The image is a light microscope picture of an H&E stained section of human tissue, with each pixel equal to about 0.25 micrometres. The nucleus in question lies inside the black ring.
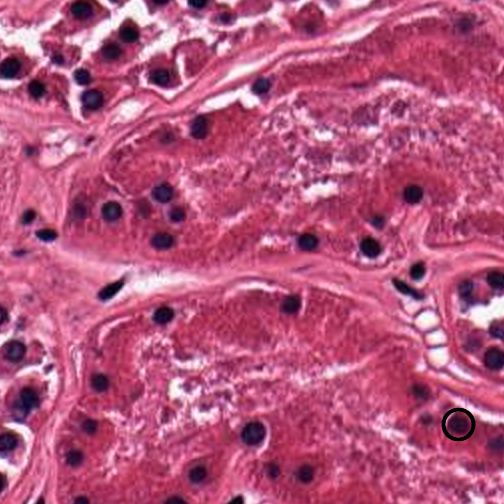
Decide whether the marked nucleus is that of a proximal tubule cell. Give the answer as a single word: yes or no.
yes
